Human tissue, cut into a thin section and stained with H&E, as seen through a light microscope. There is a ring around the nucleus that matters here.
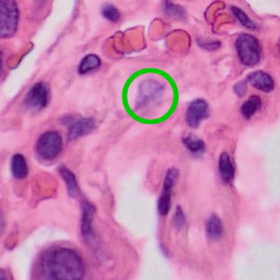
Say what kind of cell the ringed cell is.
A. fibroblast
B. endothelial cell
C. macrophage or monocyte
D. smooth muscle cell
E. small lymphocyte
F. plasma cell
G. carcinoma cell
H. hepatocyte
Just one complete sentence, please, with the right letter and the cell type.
In short, option A: the ringed cell is a fibroblast.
